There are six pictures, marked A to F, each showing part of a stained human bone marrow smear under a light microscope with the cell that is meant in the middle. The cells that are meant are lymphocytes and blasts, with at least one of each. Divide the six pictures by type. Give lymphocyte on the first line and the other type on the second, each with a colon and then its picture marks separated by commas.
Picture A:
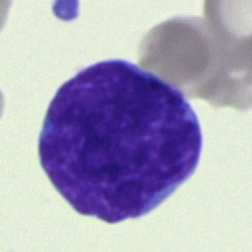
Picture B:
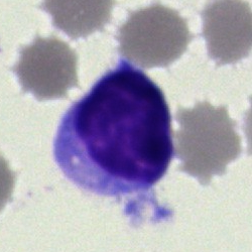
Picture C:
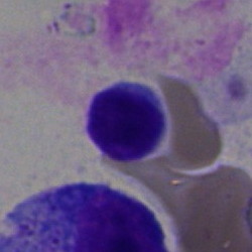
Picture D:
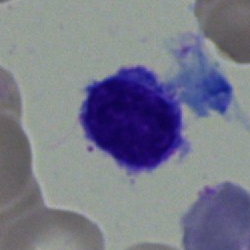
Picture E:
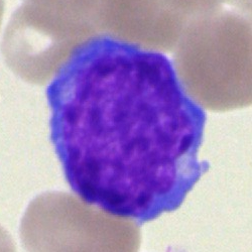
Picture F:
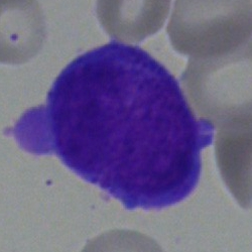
lymphocyte: B, C, D
blast: A, E, F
